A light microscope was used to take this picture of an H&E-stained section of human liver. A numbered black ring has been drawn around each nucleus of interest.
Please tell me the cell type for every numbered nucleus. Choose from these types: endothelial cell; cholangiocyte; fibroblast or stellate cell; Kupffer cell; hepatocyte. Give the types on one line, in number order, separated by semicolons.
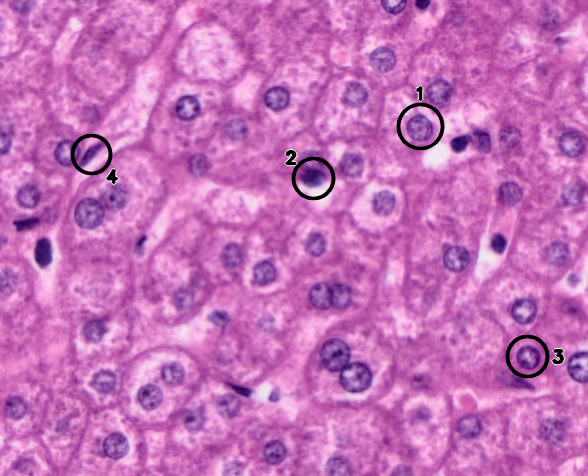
hepatocyte; endothelial cell; hepatocyte; Kupffer cell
